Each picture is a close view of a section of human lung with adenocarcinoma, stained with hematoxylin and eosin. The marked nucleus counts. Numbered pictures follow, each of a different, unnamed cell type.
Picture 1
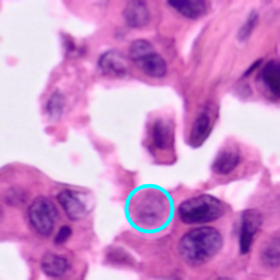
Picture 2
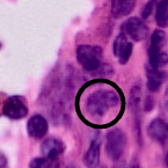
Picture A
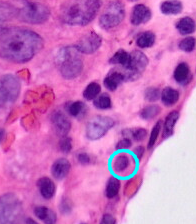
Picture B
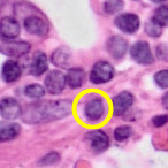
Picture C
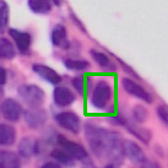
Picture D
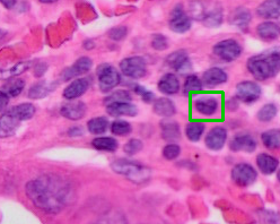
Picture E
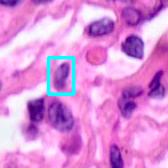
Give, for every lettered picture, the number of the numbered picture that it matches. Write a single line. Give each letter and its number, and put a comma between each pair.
A 2, B 2, C 2, D 2, E 2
